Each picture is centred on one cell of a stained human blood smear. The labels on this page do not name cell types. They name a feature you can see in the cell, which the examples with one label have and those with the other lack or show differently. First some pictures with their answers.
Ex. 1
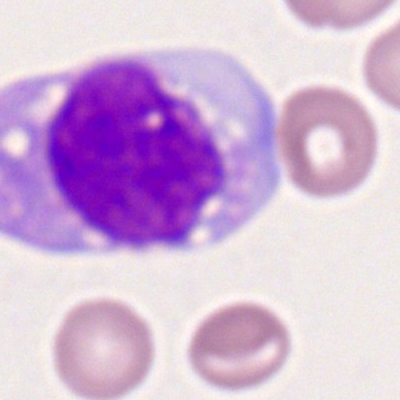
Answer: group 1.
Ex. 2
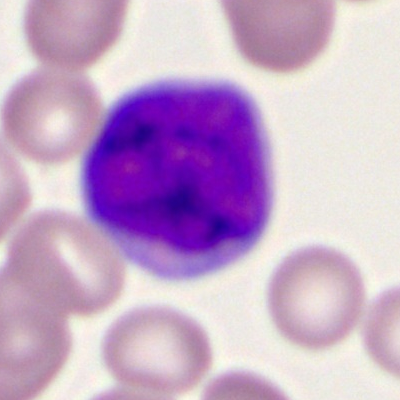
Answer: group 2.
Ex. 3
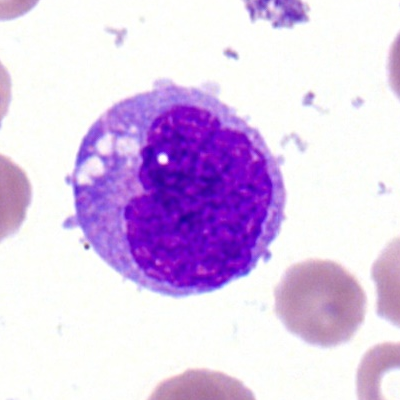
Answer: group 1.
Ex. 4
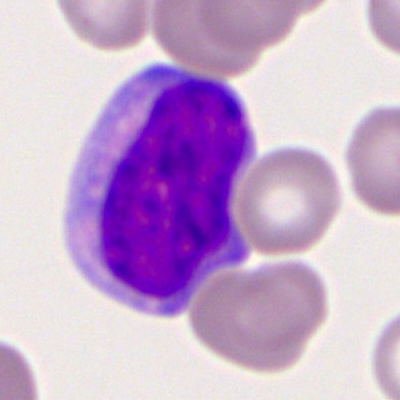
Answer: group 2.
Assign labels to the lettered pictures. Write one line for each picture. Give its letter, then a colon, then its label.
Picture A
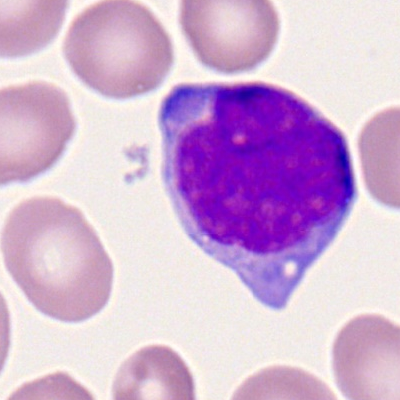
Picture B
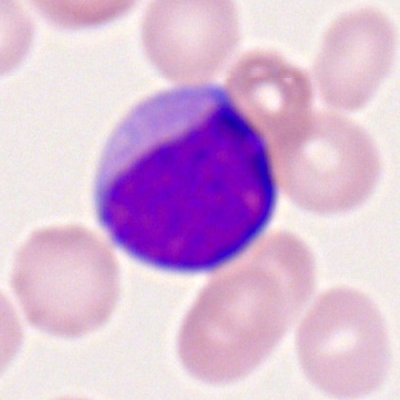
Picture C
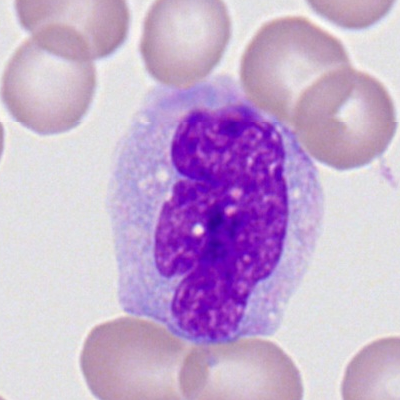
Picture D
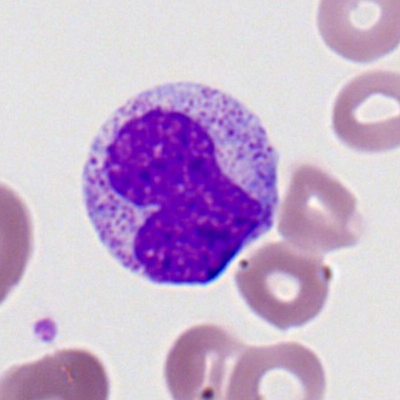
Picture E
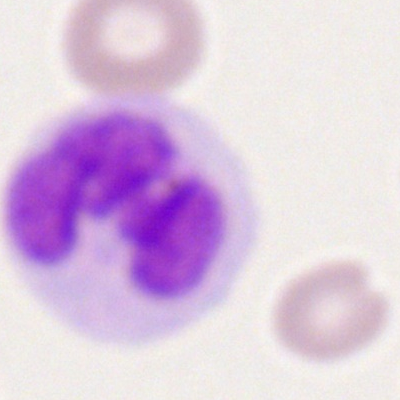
A: group 1.
B: group 2.
C: group 1.
D: group 2.
E: group 2.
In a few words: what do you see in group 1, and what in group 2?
group 1, vacuoles present; group 2, no vacuoles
